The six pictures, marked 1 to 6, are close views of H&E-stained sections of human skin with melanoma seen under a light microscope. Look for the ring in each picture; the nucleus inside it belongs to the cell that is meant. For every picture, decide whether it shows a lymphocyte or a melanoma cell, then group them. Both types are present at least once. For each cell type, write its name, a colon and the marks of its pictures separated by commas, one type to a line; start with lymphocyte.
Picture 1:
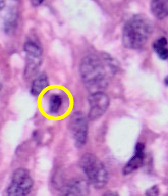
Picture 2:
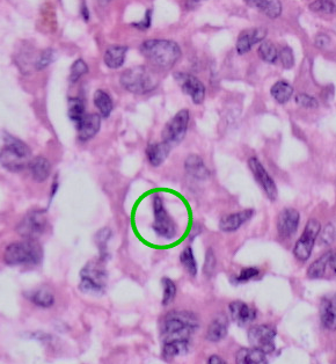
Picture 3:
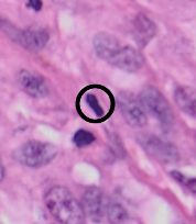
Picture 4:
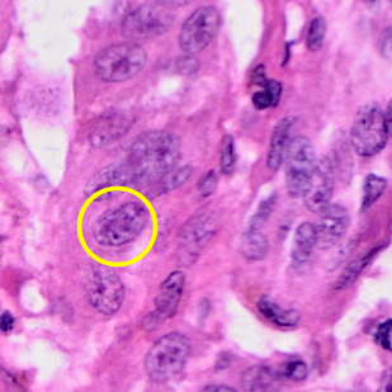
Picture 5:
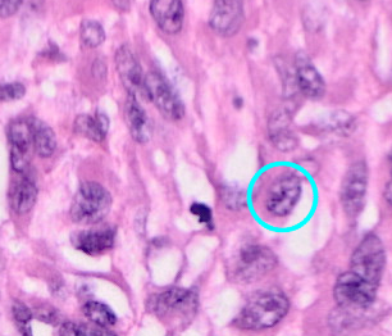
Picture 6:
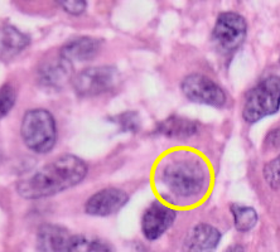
lymphocyte: 1, 3
melanoma cell: 2, 4, 5, 6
